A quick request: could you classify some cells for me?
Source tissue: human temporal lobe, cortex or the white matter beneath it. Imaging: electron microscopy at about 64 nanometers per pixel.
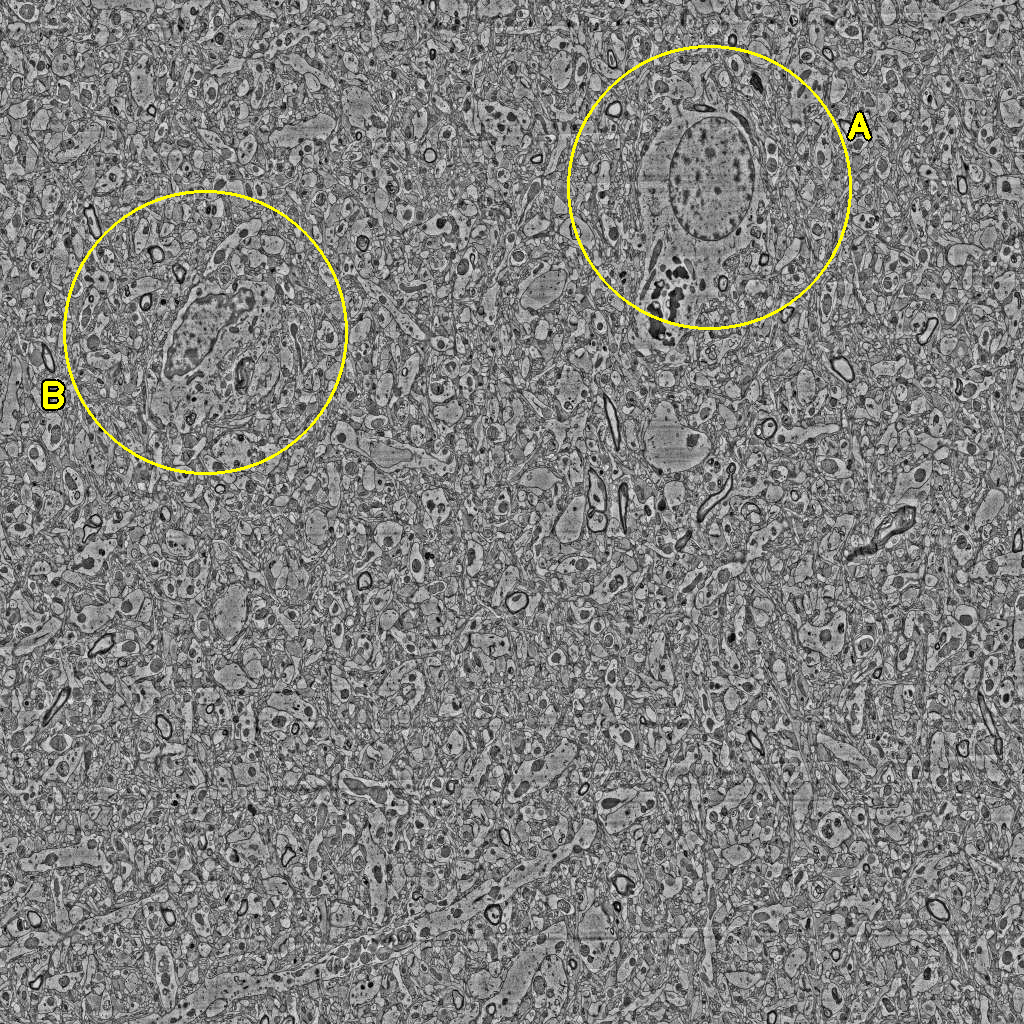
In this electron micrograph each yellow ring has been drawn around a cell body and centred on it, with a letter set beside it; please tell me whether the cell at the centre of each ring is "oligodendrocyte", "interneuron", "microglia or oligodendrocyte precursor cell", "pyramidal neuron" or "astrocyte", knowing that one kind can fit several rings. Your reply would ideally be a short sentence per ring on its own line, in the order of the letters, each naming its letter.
Ring A has an astrocyte at its centre.
Ring B has a microglial cell or oligodendrocyte precursor cell at its centre.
